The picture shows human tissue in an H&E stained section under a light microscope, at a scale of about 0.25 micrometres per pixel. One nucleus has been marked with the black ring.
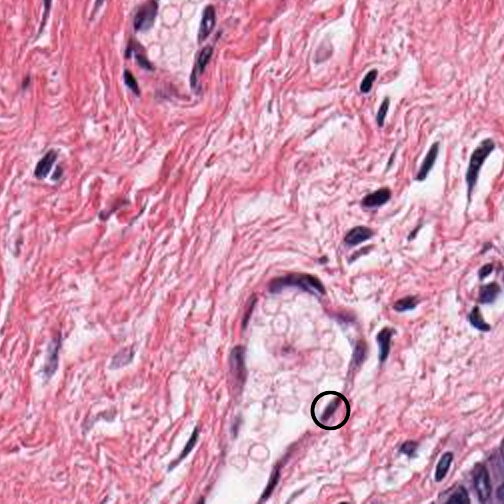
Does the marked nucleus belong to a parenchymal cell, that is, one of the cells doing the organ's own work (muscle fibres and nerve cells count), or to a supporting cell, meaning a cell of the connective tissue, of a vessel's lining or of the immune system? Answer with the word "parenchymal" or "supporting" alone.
supporting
